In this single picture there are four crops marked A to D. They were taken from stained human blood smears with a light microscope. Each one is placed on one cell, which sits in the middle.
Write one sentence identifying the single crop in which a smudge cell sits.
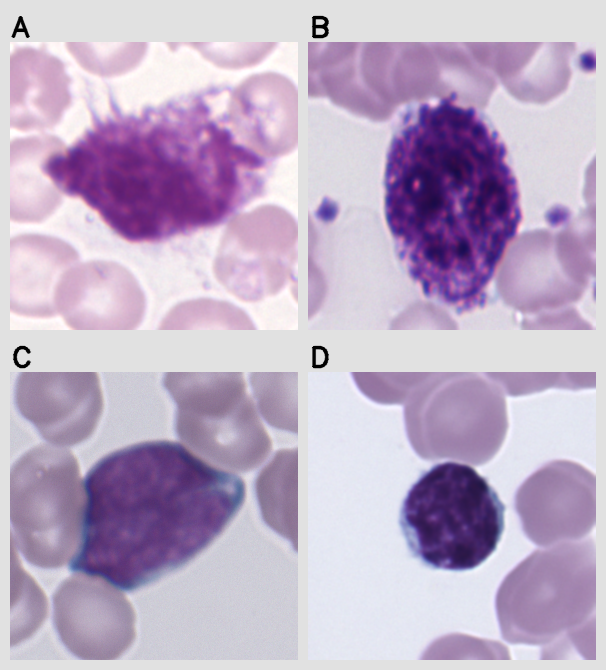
It is in crop A, among all the crops, that a smudge cell is present.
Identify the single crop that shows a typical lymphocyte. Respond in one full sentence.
Crop D represents a typical lymphocyte, while the other crops do not.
